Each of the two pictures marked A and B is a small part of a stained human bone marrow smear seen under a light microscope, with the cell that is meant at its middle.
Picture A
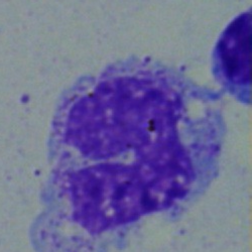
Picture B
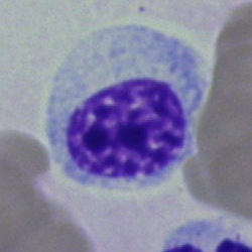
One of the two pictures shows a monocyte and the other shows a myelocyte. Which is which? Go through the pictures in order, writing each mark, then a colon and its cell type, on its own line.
A: monocyte
B: myelocyte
